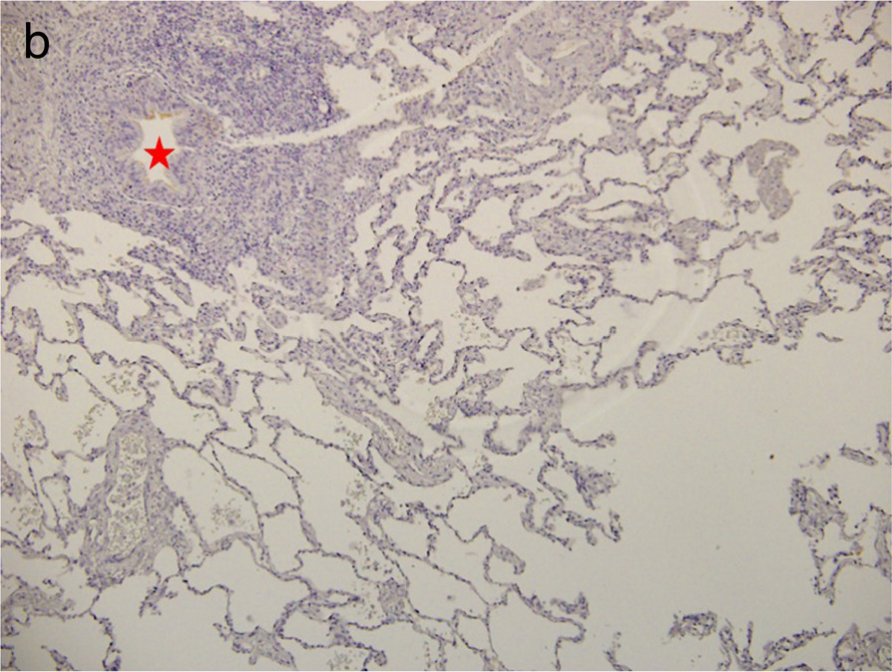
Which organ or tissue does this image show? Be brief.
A: Lung parenchyma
